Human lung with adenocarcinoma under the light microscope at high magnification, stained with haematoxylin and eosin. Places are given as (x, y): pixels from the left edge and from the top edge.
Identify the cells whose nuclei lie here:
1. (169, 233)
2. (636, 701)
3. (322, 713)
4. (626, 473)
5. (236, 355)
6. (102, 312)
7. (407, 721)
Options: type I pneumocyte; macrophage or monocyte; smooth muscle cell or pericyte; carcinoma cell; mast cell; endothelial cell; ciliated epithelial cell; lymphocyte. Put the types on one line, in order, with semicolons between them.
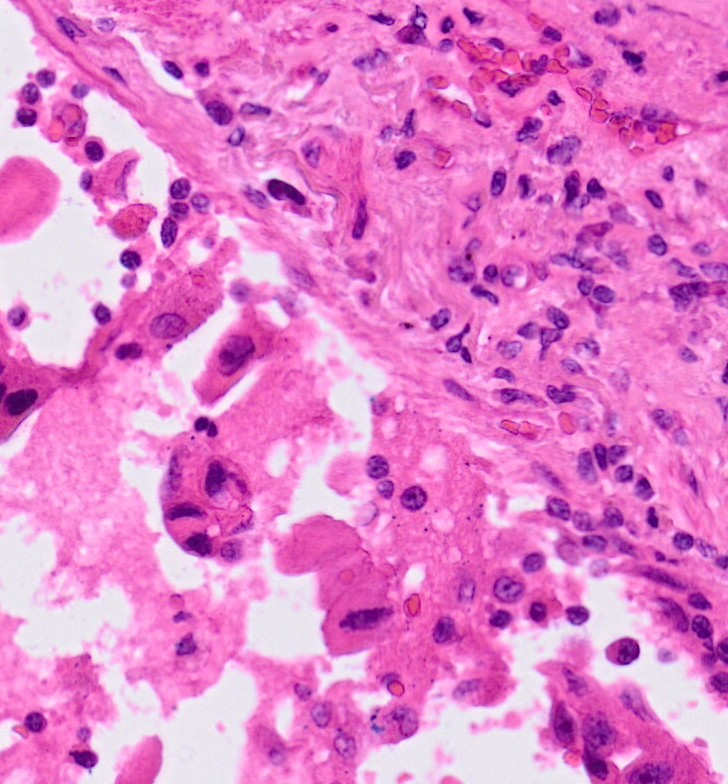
lymphocyte; carcinoma cell; macrophage or monocyte; lymphocyte; carcinoma cell; lymphocyte; macrophage or monocyte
